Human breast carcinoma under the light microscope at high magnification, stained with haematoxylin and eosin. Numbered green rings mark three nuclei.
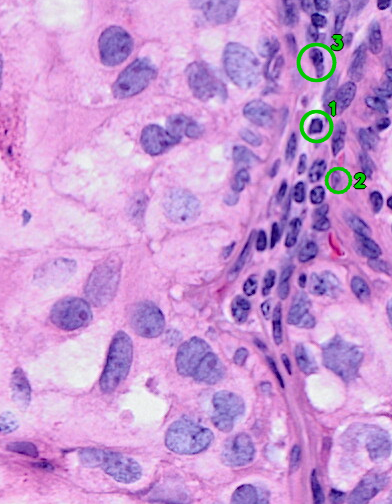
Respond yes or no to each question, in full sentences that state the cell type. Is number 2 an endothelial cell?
Yes, within this section, cell number 2 is an endothelial cell.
